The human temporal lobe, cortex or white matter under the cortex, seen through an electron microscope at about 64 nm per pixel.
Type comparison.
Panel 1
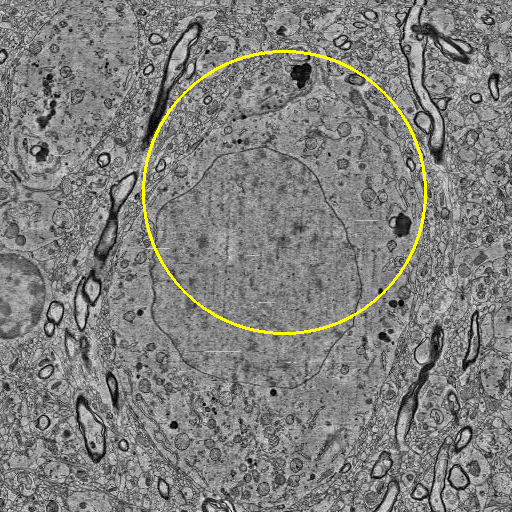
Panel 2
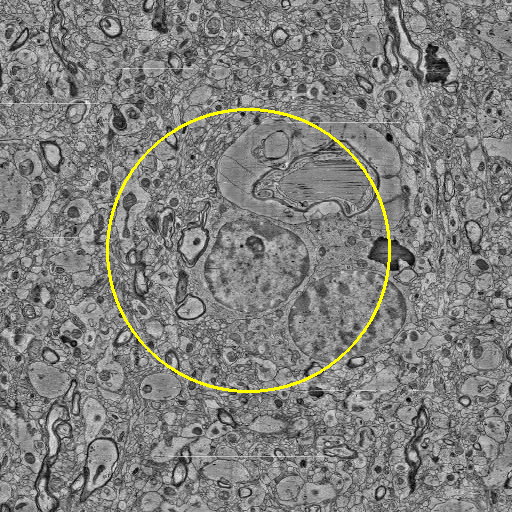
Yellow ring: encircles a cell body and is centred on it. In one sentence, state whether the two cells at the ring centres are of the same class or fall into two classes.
In these panels, the two cells at the ring centres fall into two classes.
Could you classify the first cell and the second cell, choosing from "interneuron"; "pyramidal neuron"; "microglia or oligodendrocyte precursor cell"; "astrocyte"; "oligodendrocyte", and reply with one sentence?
The second cell is an oligodendrocyte, while the first is a pyramidal neuron.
